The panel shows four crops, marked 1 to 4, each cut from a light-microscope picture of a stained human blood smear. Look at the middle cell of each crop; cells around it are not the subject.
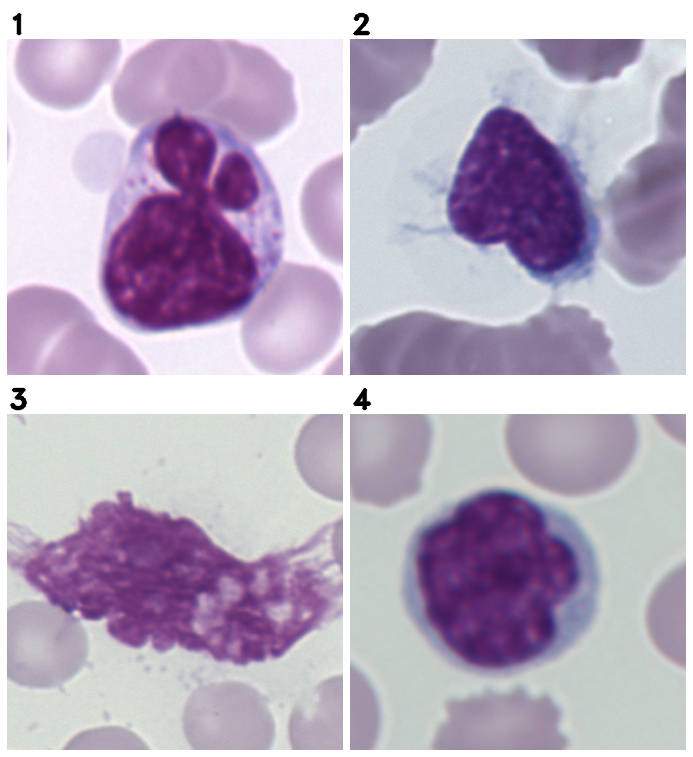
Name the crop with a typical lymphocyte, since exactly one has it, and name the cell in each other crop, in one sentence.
In crop 4, the cell at the centre is a typical lymphocyte, while crop 1 is a large granular lymphocyte, crop 2 is a hairy cell and crop 3 is a smudge cell.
